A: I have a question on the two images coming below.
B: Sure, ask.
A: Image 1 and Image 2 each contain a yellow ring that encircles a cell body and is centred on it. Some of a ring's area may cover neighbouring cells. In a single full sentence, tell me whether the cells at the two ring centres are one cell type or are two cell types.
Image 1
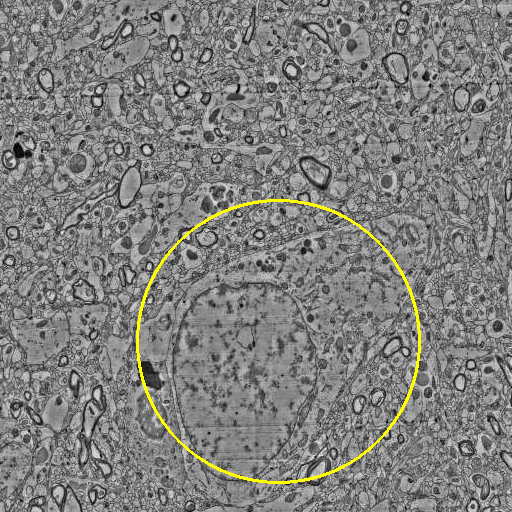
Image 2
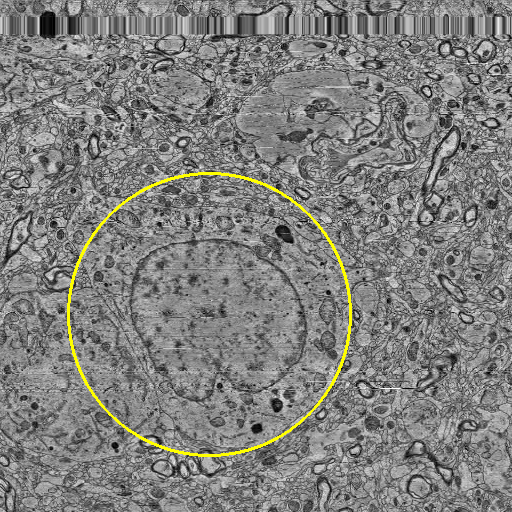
As for the ring-centre cells, the one in Image 1 and the one in Image 2 are one cell type.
